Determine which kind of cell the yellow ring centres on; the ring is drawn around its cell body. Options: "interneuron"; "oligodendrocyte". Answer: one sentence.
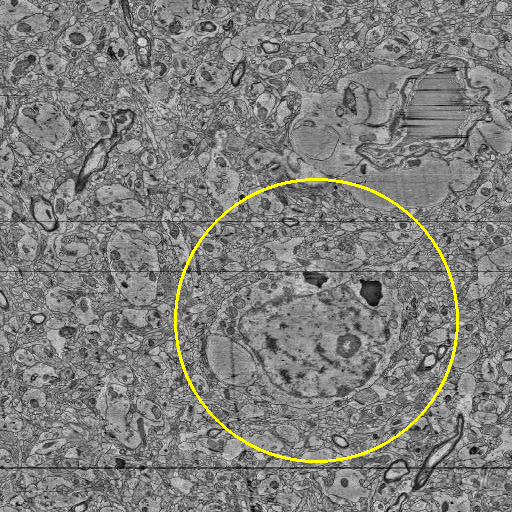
The ring centres on an interneuron.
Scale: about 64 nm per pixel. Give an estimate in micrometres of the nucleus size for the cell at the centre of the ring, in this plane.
Roughly 10 by 8 micrometres in this plane, for the nucleus of the ringed cell.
